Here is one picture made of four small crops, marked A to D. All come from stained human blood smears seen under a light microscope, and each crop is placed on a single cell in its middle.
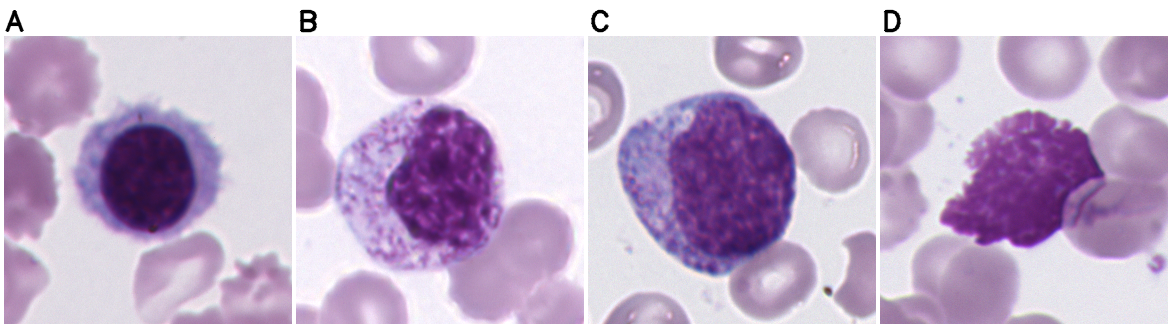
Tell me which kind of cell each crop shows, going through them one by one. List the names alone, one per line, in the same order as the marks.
hairy cell
metamyelocyte
promyelocyte
smudge cell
